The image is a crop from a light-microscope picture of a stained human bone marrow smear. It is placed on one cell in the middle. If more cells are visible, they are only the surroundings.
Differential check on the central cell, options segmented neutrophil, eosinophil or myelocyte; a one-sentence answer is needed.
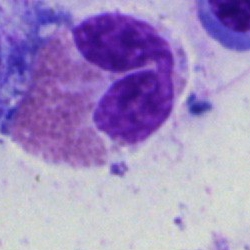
At the middle of the frame sits an eosinophil.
